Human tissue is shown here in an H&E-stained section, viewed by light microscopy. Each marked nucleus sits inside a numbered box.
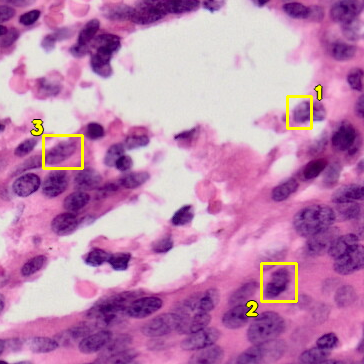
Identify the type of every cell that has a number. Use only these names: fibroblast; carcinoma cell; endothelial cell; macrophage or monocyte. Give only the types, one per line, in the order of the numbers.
macrophage or monocyte
macrophage or monocyte
carcinoma cell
